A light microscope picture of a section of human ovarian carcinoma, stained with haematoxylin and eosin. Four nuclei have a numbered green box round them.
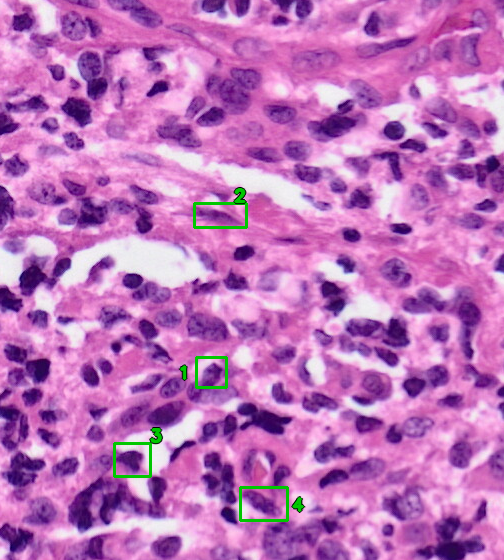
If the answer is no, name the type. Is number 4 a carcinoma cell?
Yes.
